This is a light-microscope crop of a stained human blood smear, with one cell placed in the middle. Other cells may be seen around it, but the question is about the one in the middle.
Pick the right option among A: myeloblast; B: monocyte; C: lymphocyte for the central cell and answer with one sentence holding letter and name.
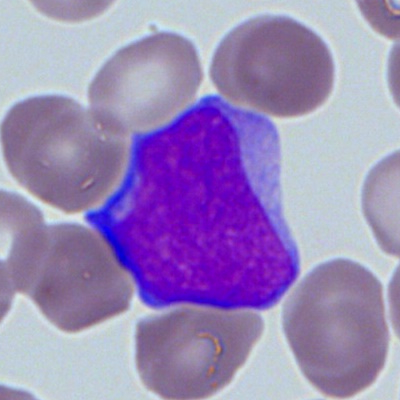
Here the central cell is a myeloblast, and option A is correct.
